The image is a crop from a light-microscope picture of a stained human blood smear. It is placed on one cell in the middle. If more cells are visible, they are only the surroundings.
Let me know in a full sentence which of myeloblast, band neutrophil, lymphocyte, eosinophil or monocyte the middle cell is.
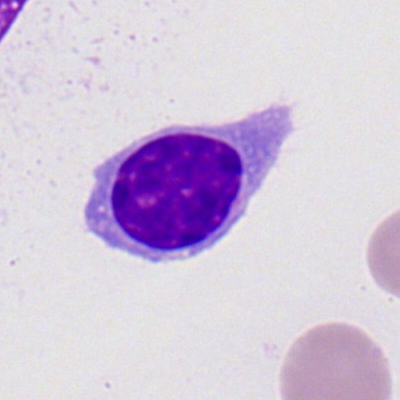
Positioned in the middle of the crop is a lymphocyte.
